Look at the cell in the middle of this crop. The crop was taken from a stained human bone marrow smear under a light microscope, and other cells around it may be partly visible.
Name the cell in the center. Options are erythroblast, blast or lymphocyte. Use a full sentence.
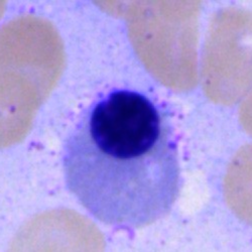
The cell that lies at the centre of the crop is an erythroblast.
